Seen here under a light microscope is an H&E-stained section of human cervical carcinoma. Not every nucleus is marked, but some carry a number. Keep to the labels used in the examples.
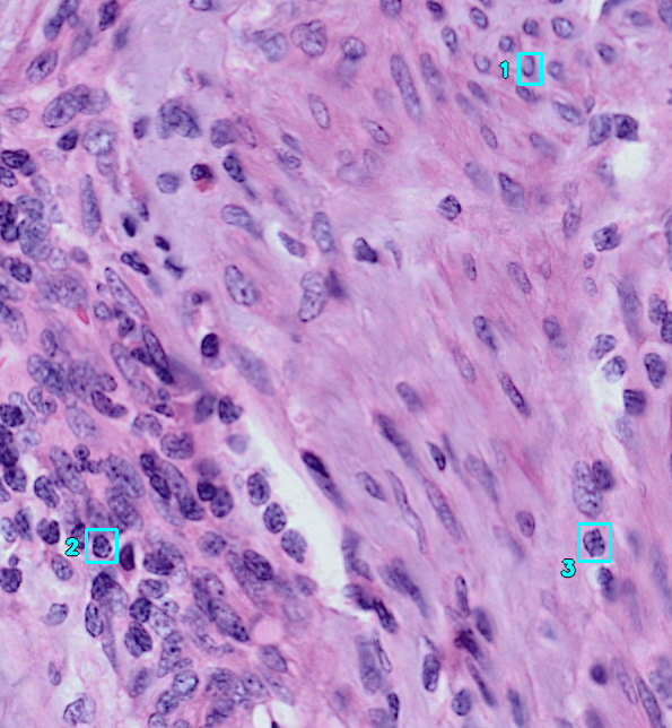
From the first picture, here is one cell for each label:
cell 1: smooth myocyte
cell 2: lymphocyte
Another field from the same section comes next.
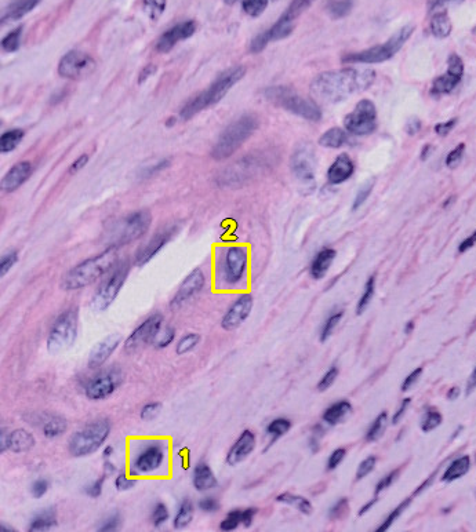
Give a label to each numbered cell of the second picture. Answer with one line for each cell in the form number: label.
1: lymphocyte
2: smooth myocyte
